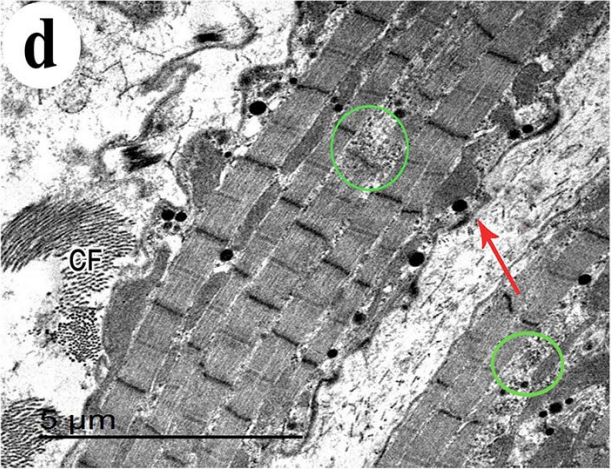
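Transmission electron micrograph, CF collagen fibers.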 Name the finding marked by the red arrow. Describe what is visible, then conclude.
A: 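Corrugated sarcolemma. The arrow points to the border of a muscle fiber. The cell border there is wavy and folded.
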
